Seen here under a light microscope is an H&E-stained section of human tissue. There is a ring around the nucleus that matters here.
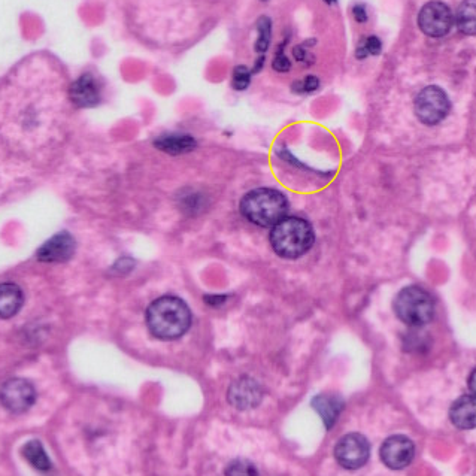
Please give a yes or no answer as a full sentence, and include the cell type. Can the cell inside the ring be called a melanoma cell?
No, judged by cell type, the cell inside the ring is an endothelial cell, not a melanoma cell.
